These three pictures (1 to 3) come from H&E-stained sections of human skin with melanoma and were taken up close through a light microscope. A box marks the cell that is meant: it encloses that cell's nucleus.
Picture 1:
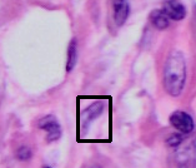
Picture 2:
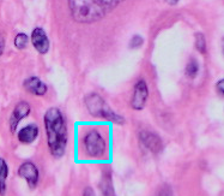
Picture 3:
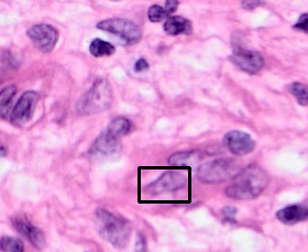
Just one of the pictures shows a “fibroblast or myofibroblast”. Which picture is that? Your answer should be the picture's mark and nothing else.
1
